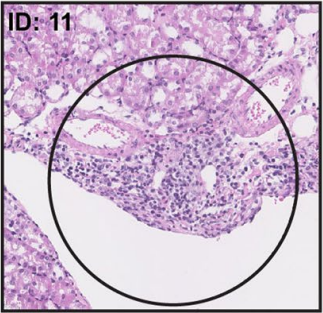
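Kidney tissue with a dense infiltrate of lymphocytes. In the lower middle of the field a broad band of small, round cells with dark purple nuclei and scant cytoplasm is packed tightly together, bordering a clear empty space below. Above it lie renal tubules lined by cuboidal epithelial cells with pale pink cytoplasm and round nuclei, and a vessel containing red blood cells runs through the upper part of the infiltrate. The crowded, dark nuclei of the infiltrate stand out sharply against the paler pink tubular tissue around it.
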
